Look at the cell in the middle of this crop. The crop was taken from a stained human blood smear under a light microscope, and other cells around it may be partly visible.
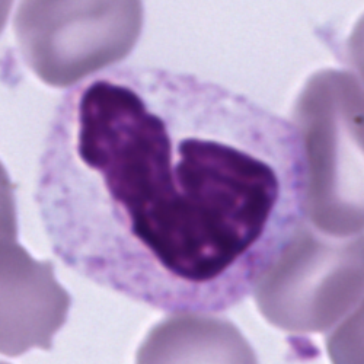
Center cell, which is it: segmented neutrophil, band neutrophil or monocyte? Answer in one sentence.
The cell in the middle of the field of view is a band neutrophil.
